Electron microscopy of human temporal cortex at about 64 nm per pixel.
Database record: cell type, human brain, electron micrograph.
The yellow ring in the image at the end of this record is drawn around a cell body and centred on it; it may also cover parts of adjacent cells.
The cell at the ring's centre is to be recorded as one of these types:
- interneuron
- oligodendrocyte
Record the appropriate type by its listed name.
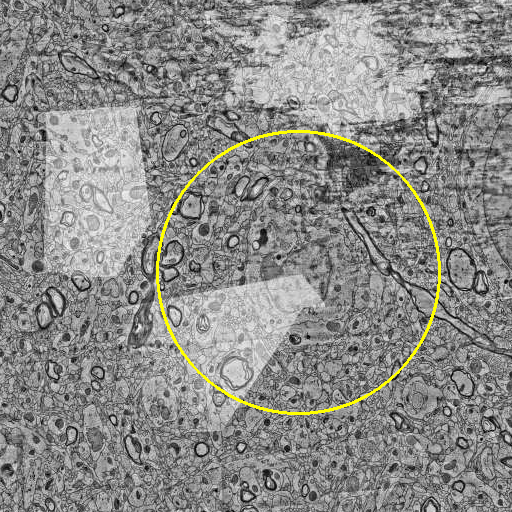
interneuron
